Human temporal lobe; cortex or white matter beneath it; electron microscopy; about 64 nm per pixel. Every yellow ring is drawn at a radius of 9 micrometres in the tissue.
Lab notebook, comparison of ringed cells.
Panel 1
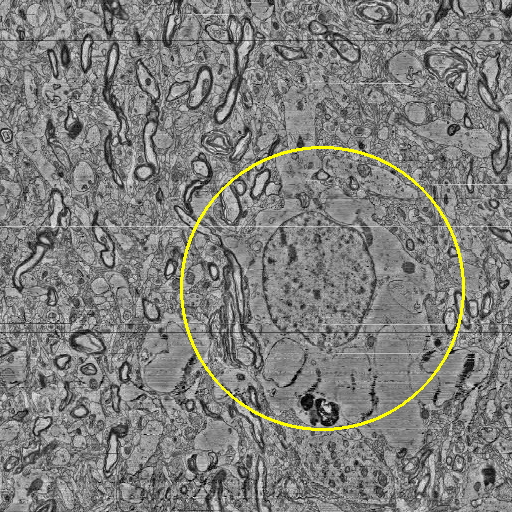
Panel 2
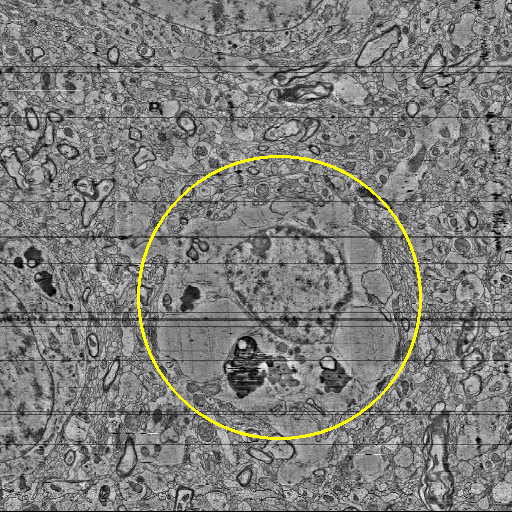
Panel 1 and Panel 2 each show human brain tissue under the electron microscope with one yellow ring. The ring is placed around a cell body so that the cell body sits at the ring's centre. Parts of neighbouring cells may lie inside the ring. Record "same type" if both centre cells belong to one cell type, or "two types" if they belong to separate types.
same type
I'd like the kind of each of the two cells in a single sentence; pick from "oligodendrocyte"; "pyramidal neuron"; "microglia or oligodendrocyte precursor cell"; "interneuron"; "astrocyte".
Both rings mark an astrocyte, one in each picture.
